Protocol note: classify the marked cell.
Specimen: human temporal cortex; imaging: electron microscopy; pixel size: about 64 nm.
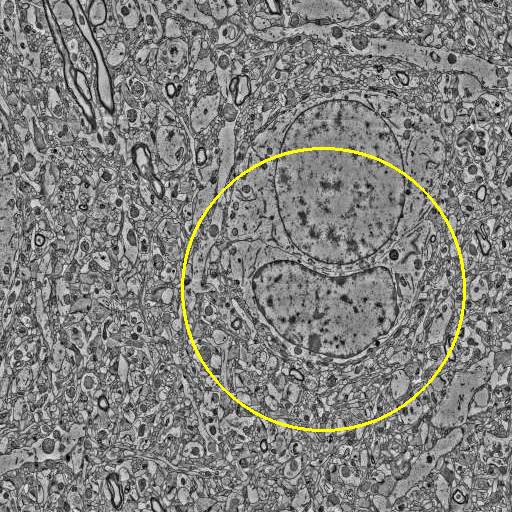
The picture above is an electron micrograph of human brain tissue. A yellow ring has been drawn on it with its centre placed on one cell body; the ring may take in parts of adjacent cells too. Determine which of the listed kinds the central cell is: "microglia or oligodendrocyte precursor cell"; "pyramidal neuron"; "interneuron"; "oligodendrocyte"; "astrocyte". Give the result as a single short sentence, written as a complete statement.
The central cell is a microglial cell or oligodendrocyte precursor cell.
